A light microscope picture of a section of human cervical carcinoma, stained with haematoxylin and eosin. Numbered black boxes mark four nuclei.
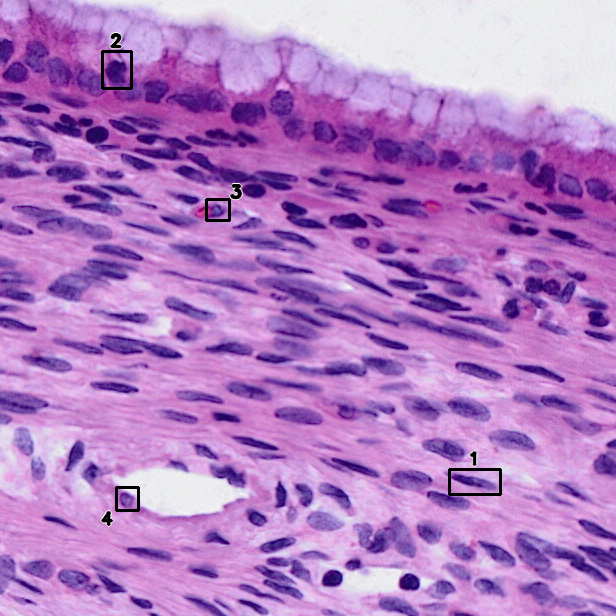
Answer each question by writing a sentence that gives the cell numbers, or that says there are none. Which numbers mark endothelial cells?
Classified as endothelial cells are the cells numbered 3 and 4.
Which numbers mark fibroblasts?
Of the marked cells, the one numbered 1 is a fibroblast and the rest are not.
